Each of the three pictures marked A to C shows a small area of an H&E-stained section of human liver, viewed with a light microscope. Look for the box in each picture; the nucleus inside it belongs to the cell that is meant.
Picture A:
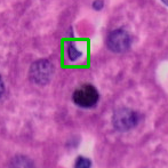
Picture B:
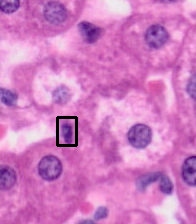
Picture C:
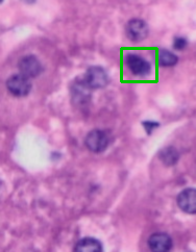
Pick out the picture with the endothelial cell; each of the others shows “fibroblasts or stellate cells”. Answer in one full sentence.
The cell in picture A is the endothelial cell.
